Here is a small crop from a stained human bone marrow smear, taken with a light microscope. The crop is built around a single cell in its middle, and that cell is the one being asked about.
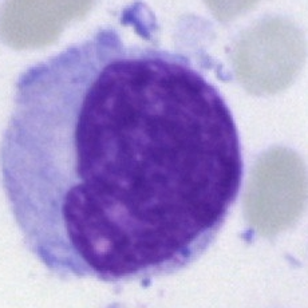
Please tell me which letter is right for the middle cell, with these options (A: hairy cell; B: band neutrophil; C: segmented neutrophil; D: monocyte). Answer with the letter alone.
D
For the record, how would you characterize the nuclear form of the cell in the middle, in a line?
A single compact nucleus is present, shaped round, oval or like a kidney.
